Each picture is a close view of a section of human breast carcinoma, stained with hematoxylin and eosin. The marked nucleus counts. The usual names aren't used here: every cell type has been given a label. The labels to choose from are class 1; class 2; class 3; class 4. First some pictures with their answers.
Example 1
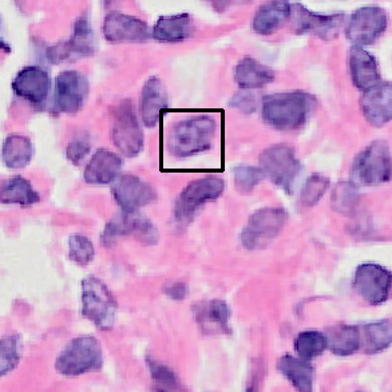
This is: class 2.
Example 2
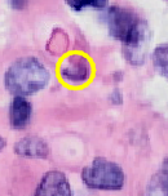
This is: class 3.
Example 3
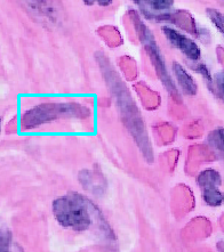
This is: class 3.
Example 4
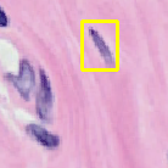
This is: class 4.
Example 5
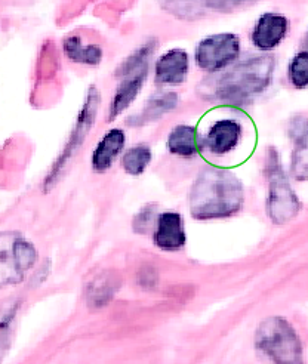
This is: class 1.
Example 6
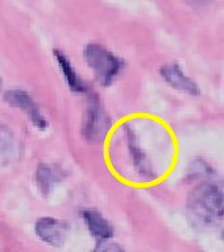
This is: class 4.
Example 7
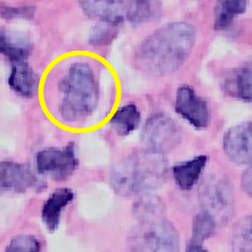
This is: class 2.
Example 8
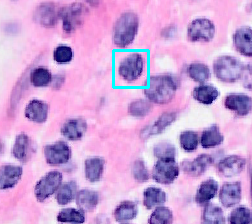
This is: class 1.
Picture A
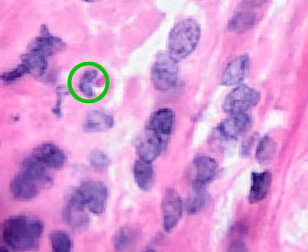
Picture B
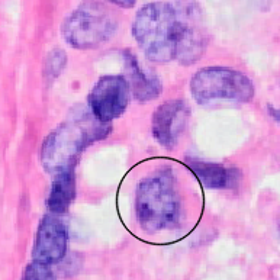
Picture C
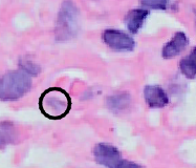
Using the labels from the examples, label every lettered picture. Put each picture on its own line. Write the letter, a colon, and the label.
A: class 3.
B: class 2.
C: class 3.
